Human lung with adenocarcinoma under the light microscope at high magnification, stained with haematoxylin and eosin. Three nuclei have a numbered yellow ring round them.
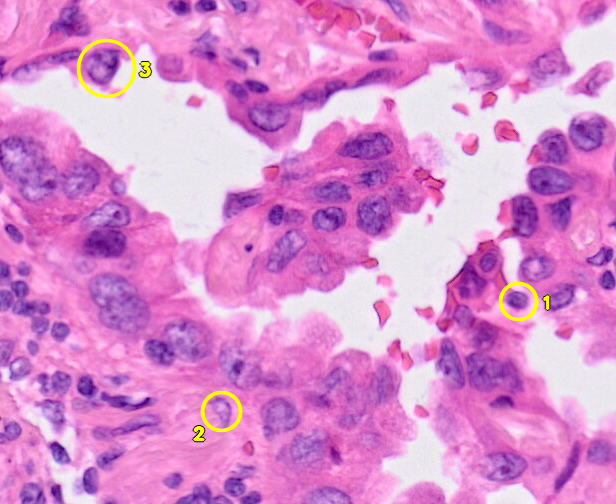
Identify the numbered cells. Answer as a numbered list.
1. lymphocyte
2. fibroblast
3. carcinoma cell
